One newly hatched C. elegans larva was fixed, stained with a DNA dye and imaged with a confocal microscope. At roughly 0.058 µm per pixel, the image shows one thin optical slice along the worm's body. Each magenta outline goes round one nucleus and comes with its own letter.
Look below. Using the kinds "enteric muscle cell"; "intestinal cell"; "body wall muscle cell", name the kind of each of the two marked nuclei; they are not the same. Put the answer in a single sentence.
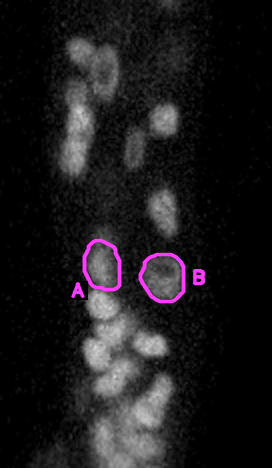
B belongs to an intestinal cell, and A to an enteric muscle cell.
